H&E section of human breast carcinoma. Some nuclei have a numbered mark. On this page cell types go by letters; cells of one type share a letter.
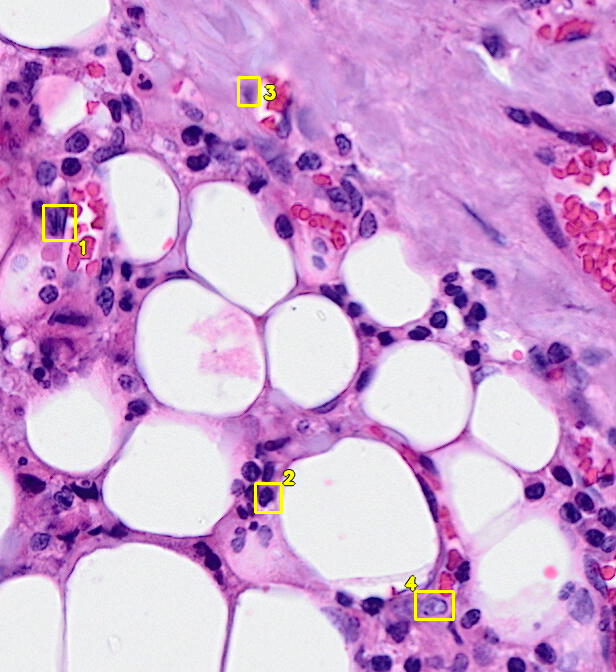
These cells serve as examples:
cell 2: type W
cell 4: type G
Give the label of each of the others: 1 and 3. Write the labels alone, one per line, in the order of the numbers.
type G
type G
